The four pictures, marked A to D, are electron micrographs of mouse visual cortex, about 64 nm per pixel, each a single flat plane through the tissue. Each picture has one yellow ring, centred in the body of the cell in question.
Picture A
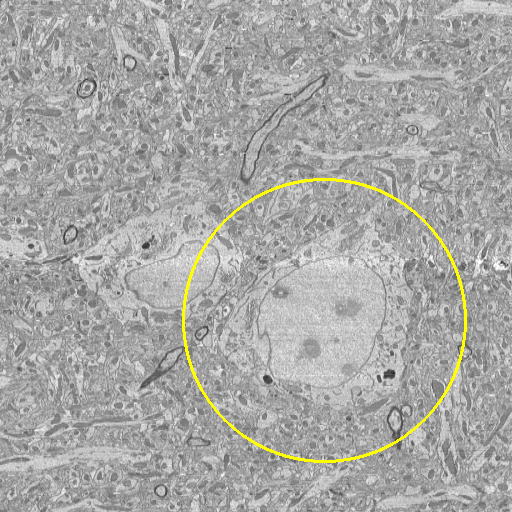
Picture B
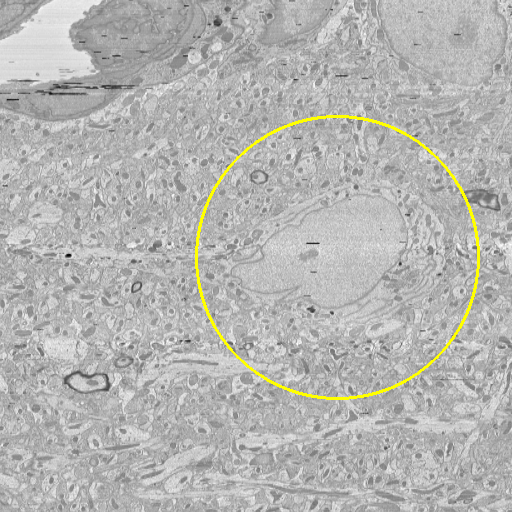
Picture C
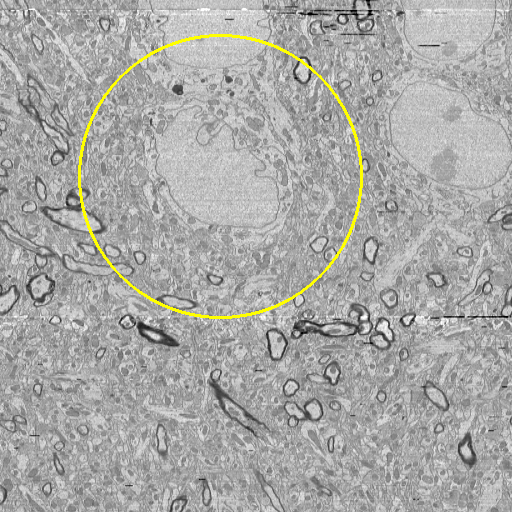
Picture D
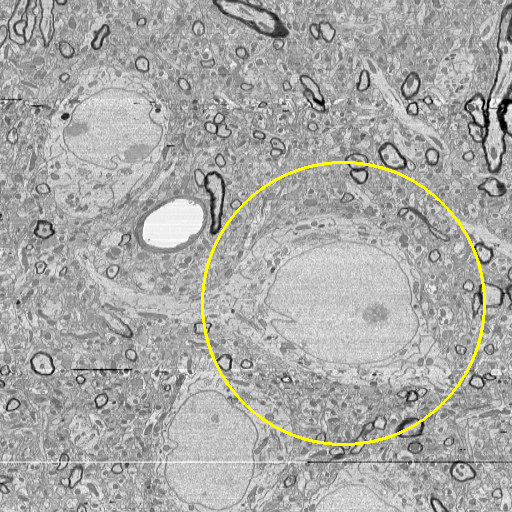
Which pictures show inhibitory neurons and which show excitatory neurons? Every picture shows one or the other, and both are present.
Pictures B and C show inhibitory neurons, and pictures A and D show excitatory neurons.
